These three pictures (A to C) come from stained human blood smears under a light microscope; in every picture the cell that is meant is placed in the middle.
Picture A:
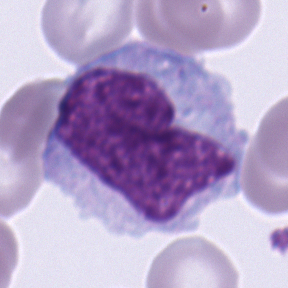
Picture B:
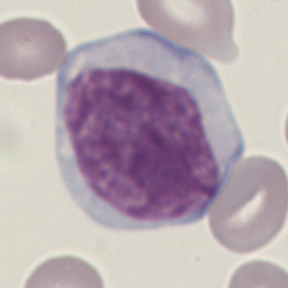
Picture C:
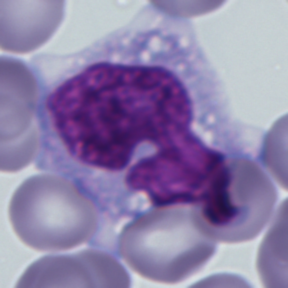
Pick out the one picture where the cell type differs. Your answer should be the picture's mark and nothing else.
B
